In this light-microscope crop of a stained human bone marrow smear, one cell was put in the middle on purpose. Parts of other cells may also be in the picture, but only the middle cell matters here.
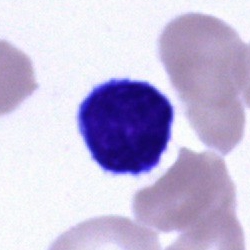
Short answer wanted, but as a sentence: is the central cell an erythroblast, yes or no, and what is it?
No, this cell in the middle is a lymphocyte, so it is not an erythroblast.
